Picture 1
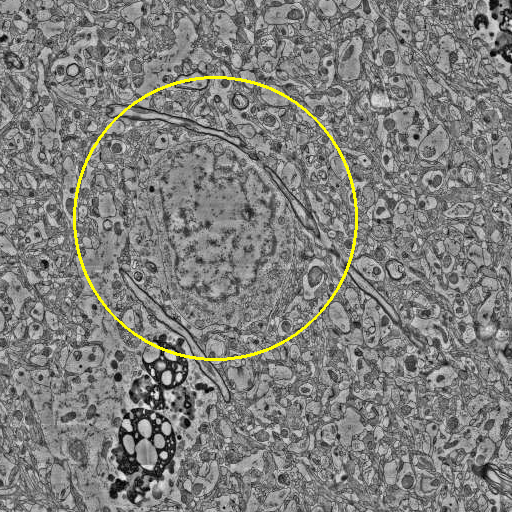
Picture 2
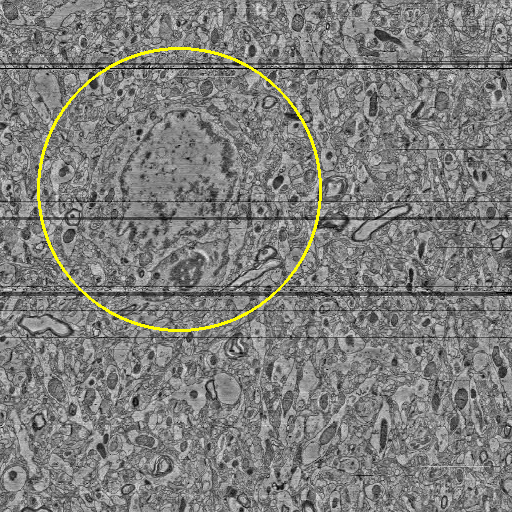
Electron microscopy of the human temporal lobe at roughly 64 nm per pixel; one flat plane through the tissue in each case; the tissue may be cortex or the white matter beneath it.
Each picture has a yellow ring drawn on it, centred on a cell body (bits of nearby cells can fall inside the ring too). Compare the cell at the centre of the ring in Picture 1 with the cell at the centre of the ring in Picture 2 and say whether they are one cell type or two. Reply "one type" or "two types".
one type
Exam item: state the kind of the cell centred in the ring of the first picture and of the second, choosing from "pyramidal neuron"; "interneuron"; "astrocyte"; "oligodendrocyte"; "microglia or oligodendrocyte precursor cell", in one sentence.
In each picture the ringed cell is an interneuron.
